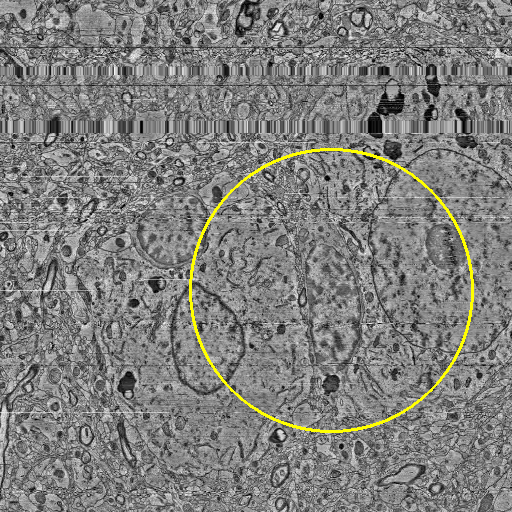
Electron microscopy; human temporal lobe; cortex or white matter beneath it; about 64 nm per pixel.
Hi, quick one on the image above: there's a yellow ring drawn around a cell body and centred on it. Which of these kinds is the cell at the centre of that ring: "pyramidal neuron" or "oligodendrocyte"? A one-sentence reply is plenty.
The cell at the centre of the ring is an oligodendrocyte.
